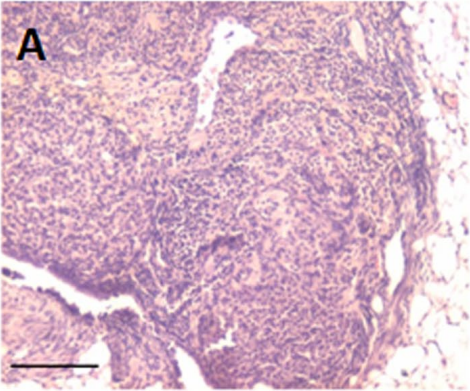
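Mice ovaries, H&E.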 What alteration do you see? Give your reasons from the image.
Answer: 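Lacked follicles and corpora lutea. No follicle with an oocyte and surrounding granulosa layers is visible. No large body of pale luteal cells is visible.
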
